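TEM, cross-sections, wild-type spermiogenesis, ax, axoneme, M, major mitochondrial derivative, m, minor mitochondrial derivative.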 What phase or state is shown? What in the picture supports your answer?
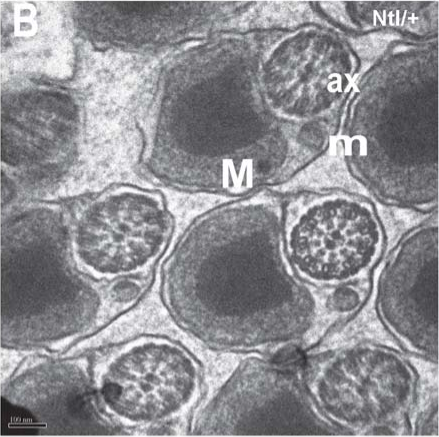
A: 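Post-individualized. Each flagellar profile is enclosed by its own membrane. Little cytoplasm surrounds the axoneme and mitochondrial derivatives.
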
